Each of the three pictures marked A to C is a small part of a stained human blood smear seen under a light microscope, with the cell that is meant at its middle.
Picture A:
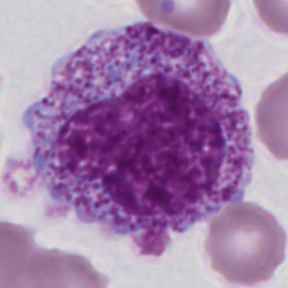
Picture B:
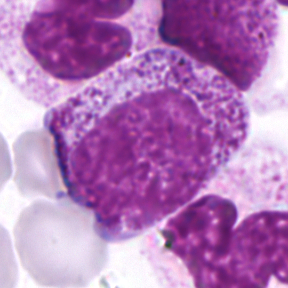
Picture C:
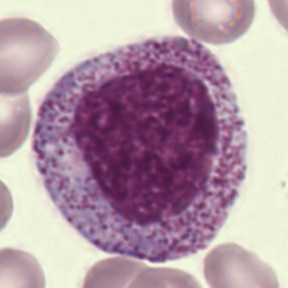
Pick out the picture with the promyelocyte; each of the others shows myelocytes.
A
